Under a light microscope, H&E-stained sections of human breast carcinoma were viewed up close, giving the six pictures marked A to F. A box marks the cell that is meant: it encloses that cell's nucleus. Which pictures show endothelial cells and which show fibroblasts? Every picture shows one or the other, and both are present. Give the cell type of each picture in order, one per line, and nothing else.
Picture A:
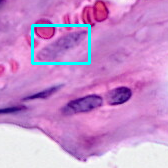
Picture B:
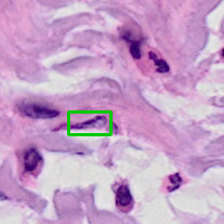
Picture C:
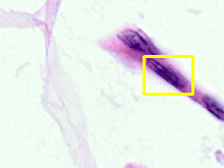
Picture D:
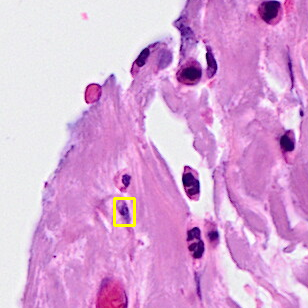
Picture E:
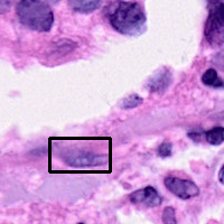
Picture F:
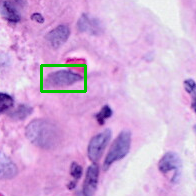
endothelial cell
fibroblast
endothelial cell
fibroblast
endothelial cell
endothelial cell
